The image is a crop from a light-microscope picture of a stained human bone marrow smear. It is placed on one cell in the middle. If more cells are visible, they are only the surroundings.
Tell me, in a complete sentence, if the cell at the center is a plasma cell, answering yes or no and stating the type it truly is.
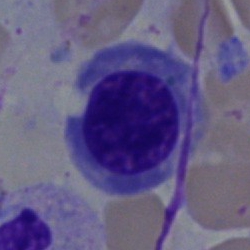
No, what is seen at the centre is an erythroblast instead of a plasma cell.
